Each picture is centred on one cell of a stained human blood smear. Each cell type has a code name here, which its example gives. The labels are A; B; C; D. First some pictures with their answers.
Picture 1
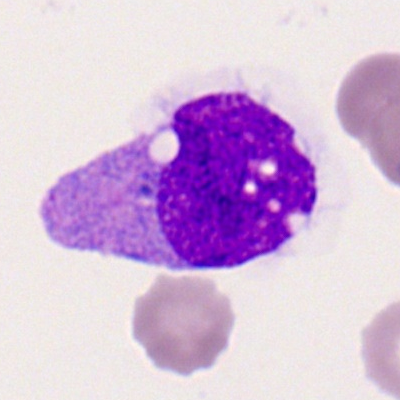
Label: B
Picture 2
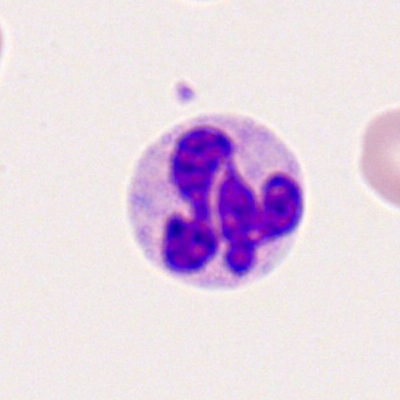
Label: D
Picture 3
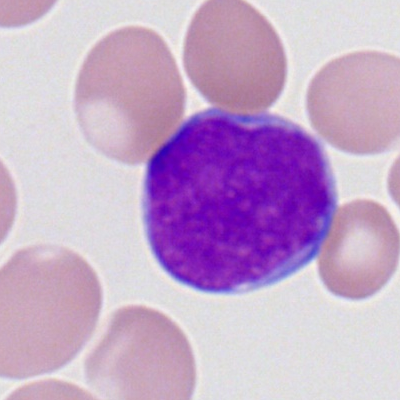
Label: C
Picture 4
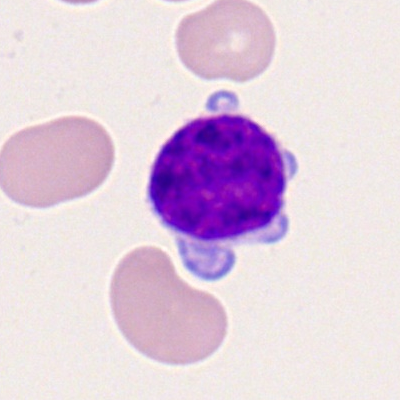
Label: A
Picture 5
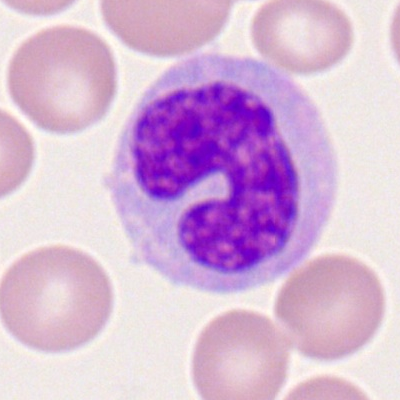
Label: B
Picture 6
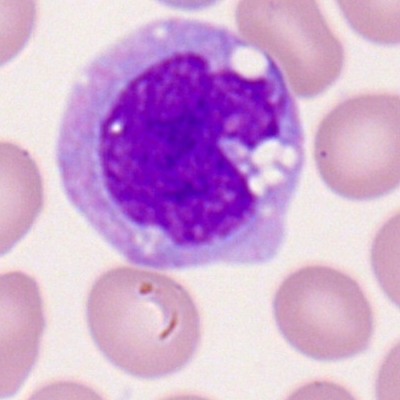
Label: B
